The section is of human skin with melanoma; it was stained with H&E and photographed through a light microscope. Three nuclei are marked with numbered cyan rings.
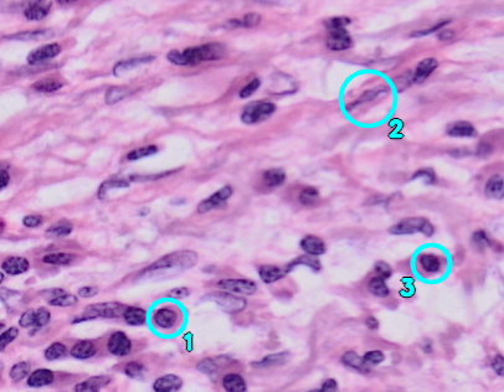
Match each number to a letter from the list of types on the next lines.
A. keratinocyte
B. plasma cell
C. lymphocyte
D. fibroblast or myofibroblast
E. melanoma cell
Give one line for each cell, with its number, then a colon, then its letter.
1: B
2: D
3: B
